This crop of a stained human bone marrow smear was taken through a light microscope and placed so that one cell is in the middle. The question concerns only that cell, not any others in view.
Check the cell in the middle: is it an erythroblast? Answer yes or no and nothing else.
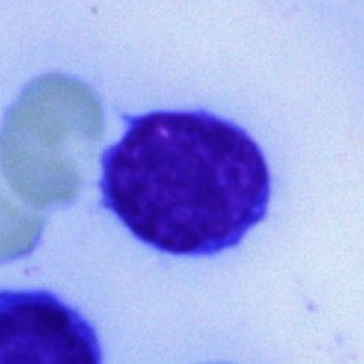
no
